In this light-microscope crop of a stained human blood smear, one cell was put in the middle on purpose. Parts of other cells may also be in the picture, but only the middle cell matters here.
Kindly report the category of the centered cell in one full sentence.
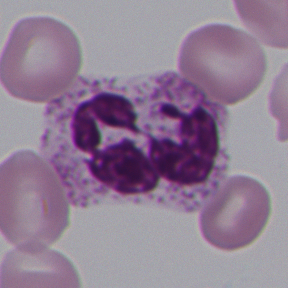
The cell positioned in the middle of the field is a neutrophil.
